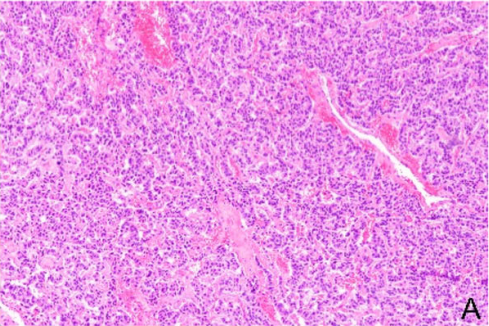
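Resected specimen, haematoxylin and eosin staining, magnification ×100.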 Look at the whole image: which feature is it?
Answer: solid cellular sheet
